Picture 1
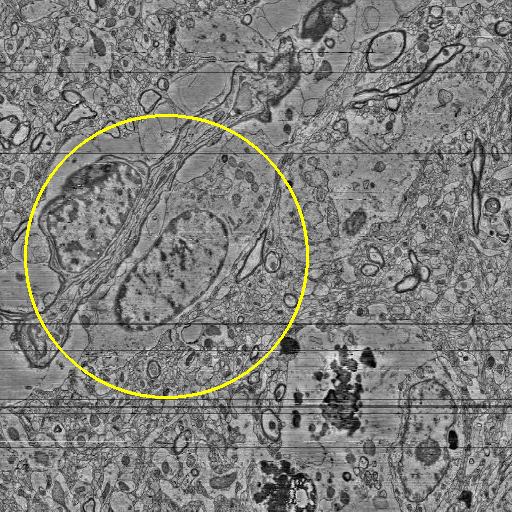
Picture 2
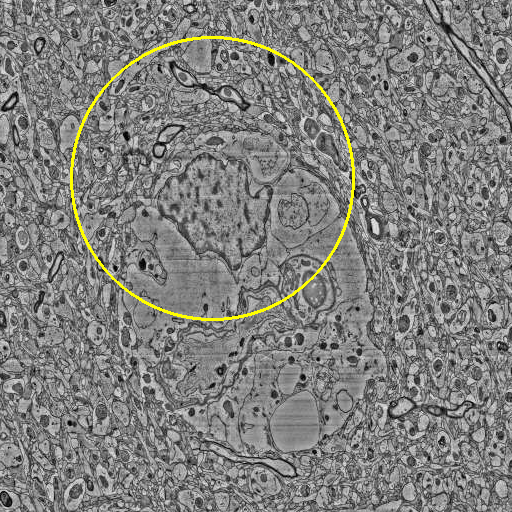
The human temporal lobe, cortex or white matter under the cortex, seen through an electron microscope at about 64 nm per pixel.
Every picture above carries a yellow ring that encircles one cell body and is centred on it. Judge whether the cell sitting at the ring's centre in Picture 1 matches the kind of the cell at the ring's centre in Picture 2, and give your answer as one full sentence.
Yes, the cells centred in the rings of Pictures 1 and 2 belong to one kind.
